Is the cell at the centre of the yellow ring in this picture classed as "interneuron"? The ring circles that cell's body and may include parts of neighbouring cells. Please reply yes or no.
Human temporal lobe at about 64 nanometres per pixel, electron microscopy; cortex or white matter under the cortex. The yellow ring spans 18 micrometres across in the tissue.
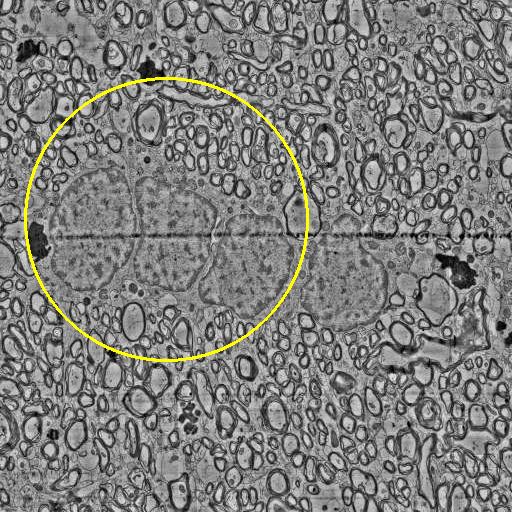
No, it is of another kind.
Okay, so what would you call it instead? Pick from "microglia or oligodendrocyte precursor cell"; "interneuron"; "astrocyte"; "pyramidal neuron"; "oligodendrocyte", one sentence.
The ring holds an oligodendrocyte at its centre.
